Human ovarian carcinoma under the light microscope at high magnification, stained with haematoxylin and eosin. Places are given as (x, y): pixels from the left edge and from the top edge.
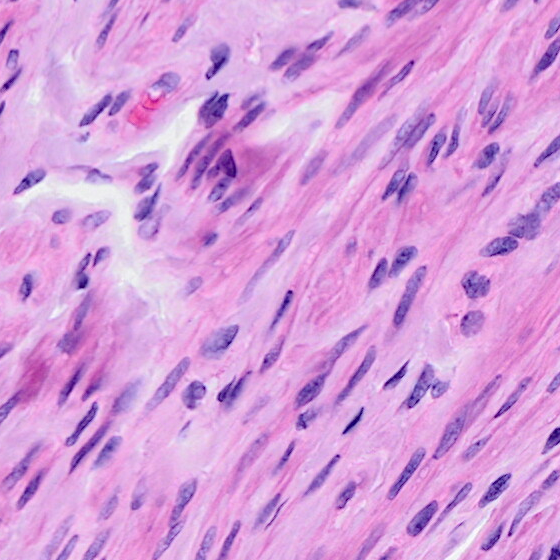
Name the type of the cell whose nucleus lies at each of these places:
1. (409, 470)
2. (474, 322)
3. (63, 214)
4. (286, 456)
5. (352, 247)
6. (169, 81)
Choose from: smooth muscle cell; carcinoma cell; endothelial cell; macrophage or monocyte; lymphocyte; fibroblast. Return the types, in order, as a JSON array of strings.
["smooth muscle cell", "endothelial cell", "smooth muscle cell", "smooth muscle cell", "smooth muscle cell", "endothelial cell"]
